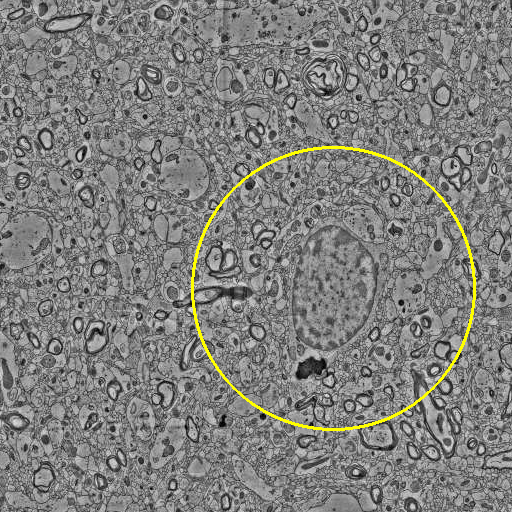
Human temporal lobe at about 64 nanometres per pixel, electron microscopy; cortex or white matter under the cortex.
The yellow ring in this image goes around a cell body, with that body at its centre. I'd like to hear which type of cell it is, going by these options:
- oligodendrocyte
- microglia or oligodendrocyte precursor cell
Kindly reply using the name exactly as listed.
oligodendrocyte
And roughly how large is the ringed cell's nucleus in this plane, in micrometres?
In this plane the nucleus is about 8 micrometres by 5.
